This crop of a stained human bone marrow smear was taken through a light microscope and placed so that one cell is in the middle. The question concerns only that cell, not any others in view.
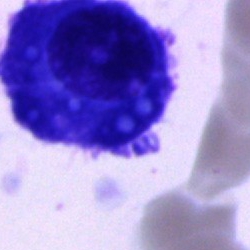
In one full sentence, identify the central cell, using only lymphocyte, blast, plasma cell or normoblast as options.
In this smear crop, the middle cell is a plasma cell.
